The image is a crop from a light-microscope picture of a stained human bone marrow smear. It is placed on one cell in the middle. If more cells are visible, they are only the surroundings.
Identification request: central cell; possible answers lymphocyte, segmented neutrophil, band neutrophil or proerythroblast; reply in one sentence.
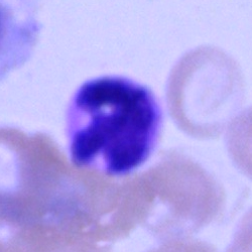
The cell of interest, in the center, is a segmented neutrophil.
